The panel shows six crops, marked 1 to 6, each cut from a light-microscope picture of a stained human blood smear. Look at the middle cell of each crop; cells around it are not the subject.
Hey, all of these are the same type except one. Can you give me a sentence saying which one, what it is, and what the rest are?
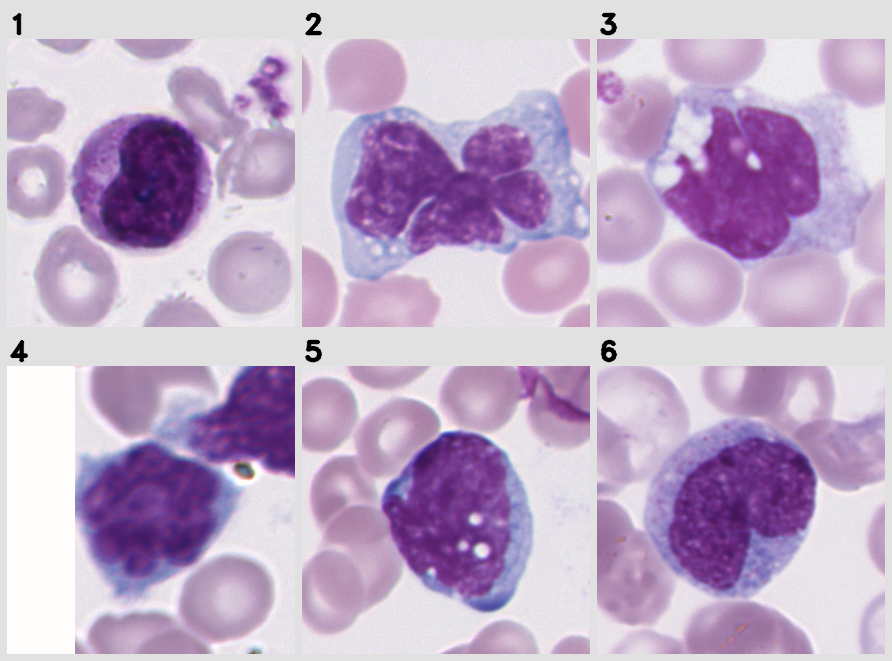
Only crop 1 differs, being a metamyelocyte, while the others all show monocytes.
